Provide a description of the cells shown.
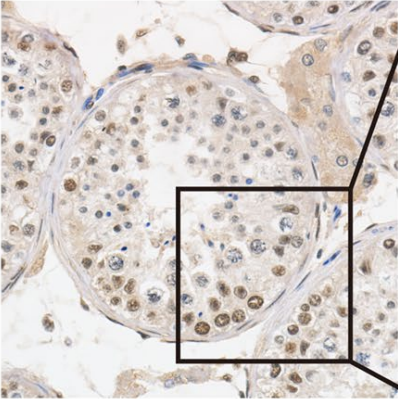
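Many round nuclei near the base of the tubule are stained brown, while some nuclei closer to the lumen appear bluer. Between the tubules lies loose interstitial tissue with scattered cells.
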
